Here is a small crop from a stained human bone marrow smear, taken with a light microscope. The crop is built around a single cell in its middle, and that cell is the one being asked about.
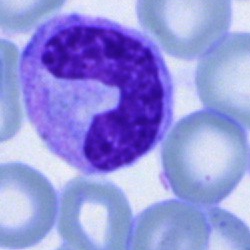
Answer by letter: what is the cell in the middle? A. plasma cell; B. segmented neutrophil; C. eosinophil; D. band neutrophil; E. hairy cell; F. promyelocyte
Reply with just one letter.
D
